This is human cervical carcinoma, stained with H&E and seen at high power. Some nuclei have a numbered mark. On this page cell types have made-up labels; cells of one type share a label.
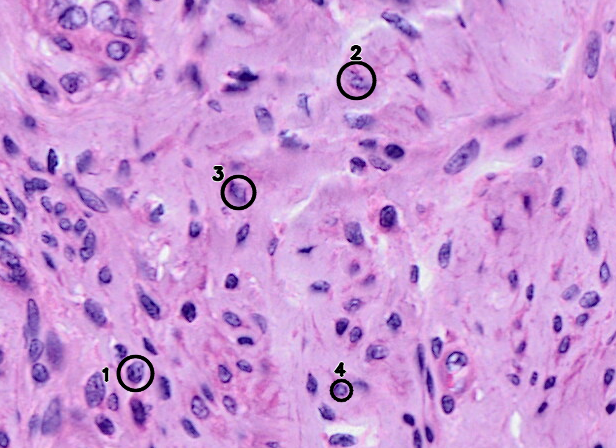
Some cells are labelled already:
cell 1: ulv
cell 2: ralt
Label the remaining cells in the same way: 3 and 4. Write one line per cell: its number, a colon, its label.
3: ralt
4: ralt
